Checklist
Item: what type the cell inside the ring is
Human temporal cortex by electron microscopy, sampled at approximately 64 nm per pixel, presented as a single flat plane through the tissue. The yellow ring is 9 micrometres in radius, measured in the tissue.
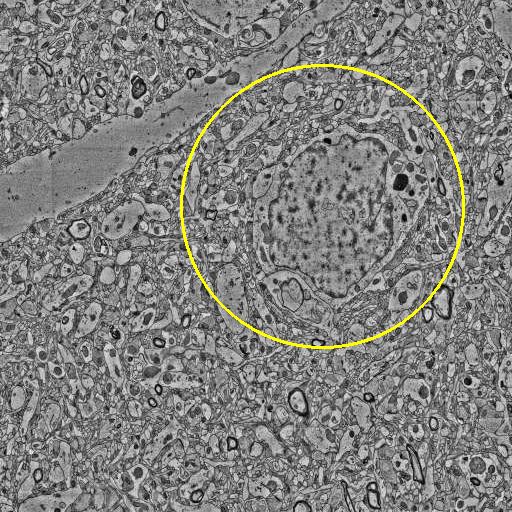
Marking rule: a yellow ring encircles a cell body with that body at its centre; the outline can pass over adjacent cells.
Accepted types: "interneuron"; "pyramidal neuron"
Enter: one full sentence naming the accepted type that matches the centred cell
The entry is that an interneuron lies at the centre of the yellow ring.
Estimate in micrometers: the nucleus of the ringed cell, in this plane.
Roughly 10 by 8 micrometres in this plane, for the nucleus of the ringed cell.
